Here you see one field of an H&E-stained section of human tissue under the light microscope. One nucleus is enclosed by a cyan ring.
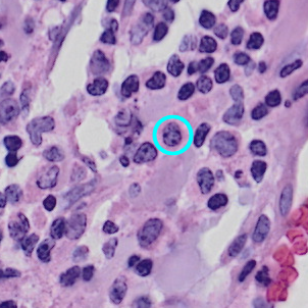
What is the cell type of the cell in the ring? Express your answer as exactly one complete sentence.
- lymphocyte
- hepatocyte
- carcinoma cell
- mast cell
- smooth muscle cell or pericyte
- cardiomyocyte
The correct response here is that the cell in the ring is a mast cell.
